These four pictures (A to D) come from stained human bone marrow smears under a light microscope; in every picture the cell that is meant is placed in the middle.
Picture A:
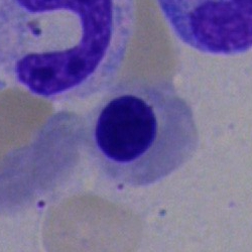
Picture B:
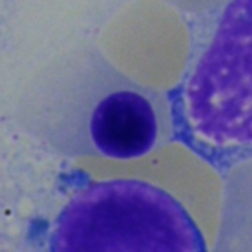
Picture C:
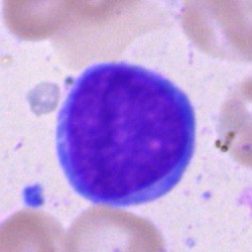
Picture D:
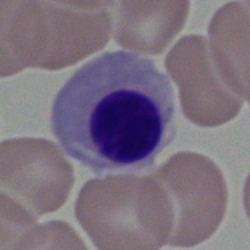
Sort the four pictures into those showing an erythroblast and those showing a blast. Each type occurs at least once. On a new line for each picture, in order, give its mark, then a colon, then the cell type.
A: erythroblast
B: erythroblast
C: blast
D: erythroblast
